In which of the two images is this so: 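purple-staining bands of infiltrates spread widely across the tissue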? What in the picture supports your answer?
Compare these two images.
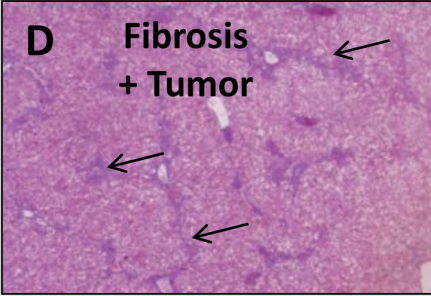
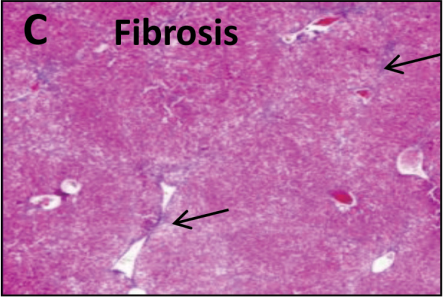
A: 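The first image. Second image: only a few small purple-blue patches lie in mostly pink tissue.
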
